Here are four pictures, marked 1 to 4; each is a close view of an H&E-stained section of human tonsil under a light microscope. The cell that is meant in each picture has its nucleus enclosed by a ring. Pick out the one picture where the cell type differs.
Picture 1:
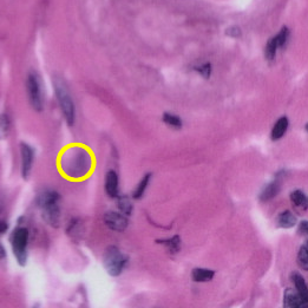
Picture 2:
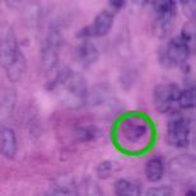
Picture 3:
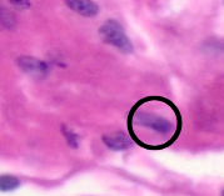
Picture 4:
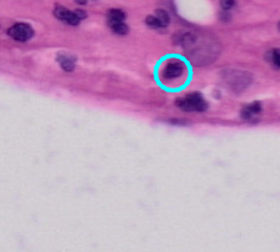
4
